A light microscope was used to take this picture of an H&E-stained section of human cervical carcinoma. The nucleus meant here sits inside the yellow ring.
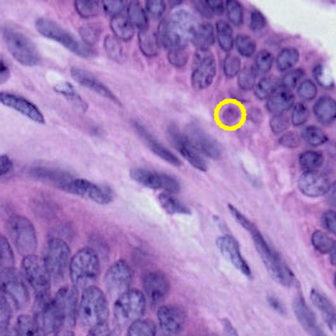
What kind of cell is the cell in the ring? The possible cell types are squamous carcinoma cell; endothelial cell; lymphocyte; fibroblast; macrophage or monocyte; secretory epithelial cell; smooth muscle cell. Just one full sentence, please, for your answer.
Recorded by type, the cell in the ring is a secretory epithelial cell.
